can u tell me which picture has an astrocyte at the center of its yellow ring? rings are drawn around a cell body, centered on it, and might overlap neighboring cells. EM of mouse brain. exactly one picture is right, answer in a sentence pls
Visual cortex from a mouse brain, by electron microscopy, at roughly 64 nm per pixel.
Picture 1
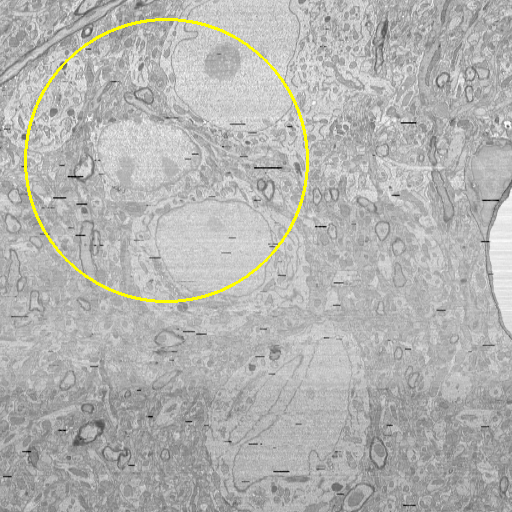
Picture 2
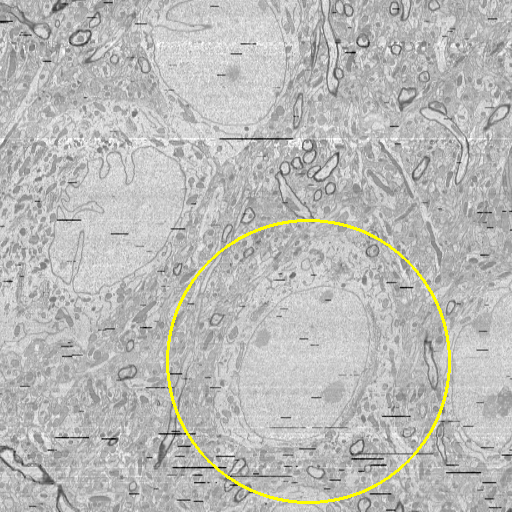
Picture 1 is the one.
